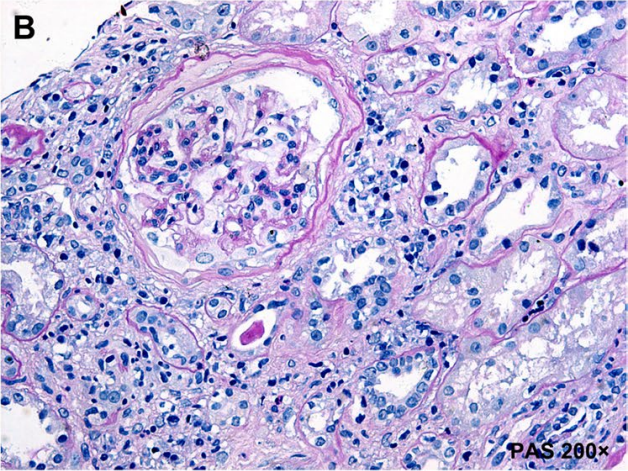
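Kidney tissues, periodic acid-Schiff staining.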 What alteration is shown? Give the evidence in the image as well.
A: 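Small round dark nuclei are scattered densely between tubules. The interstitial spaces between tubules are widened and cellular.
Answer: Inflammatory infiltrates in the interstitium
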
